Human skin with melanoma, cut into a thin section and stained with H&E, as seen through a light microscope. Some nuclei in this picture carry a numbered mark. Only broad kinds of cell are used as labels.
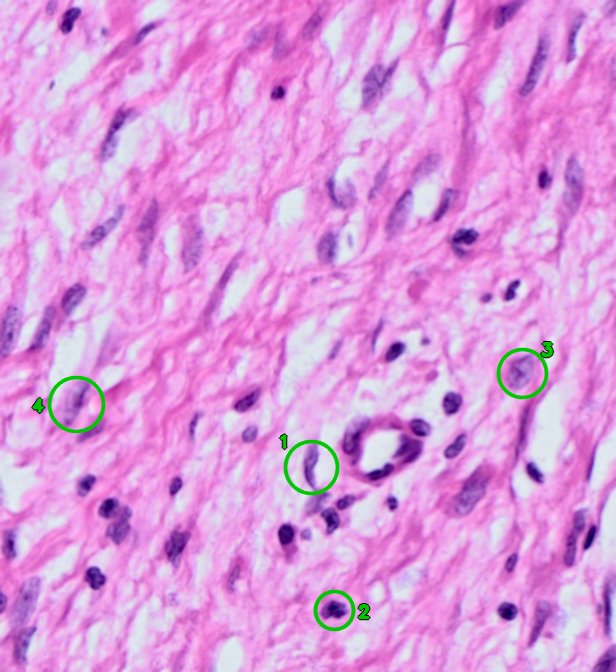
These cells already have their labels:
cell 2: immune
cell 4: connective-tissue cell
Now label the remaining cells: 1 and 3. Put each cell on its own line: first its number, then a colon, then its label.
1: connective-tissue cell
3: connective-tissue cell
